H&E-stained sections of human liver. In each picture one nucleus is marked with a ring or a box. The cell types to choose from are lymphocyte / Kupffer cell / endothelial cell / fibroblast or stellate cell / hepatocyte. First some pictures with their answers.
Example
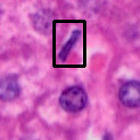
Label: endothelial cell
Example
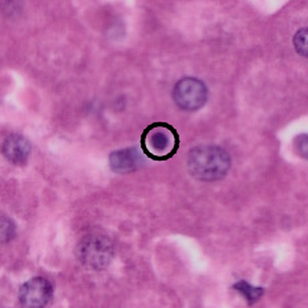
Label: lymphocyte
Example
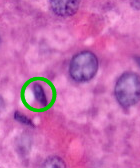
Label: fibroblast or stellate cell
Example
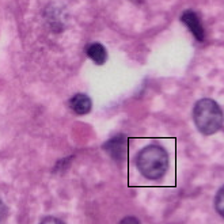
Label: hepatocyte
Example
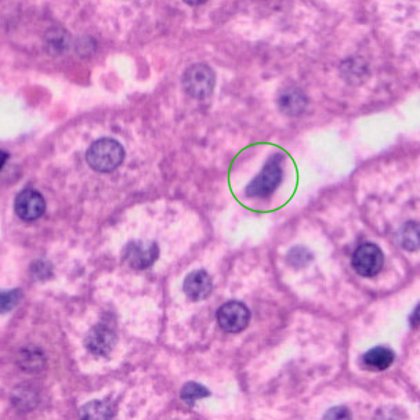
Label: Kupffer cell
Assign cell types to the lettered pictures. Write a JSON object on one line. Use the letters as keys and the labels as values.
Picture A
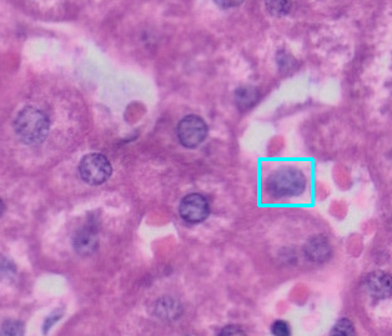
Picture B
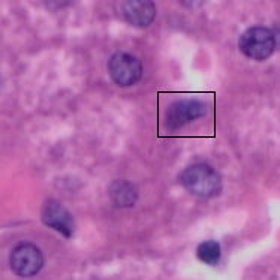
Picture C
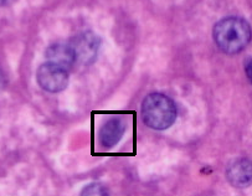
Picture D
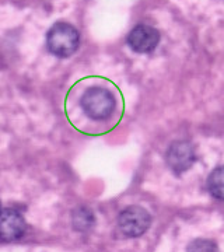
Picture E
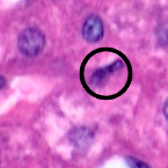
{"A": "endothelial cell", "B": "fibroblast or stellate cell", "C": "Kupffer cell", "D": "hepatocyte", "E": "fibroblast or stellate cell"}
